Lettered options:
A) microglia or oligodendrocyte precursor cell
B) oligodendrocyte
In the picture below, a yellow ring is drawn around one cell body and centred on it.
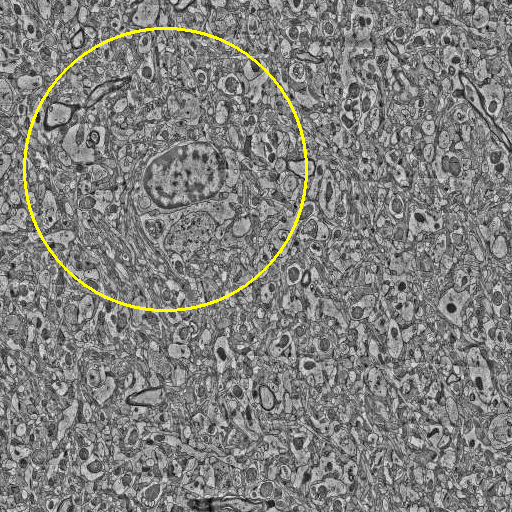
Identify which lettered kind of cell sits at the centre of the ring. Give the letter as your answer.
A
